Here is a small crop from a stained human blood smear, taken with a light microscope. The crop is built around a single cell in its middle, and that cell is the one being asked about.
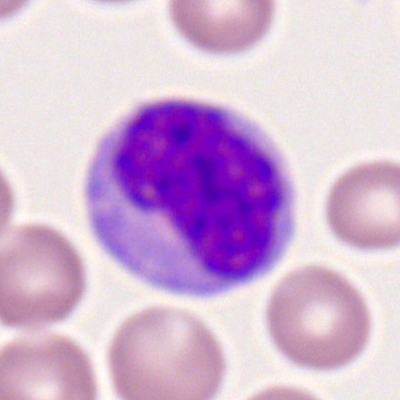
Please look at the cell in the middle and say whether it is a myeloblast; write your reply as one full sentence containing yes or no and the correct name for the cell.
No, the cell placed in the centre is a monocyte and is not a myeloblast.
